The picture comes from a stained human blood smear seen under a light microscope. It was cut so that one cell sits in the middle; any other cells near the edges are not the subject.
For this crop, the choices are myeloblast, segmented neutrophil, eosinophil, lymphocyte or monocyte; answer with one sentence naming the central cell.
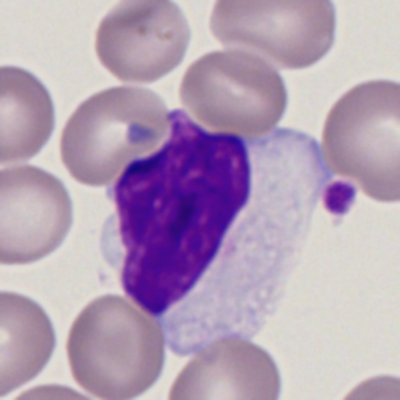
Of the cells in this crop, the central one is a lymphocyte.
